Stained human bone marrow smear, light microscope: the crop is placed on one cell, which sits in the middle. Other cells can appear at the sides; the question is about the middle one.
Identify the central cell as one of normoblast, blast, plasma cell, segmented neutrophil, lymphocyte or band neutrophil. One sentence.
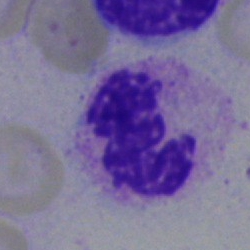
The crop's centre is taken up by a segmented neutrophil.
